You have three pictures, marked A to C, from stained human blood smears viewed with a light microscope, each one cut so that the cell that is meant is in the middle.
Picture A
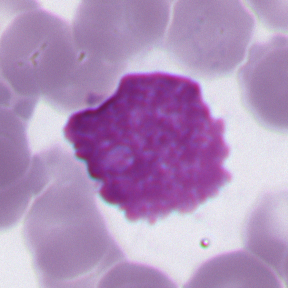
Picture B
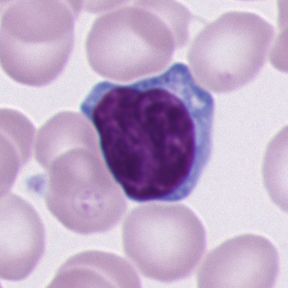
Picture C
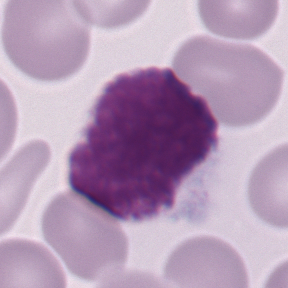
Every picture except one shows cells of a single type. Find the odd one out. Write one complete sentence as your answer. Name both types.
The different one is picture B; it shows a typical lymphocyte, whereas all the others show smudge cells.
